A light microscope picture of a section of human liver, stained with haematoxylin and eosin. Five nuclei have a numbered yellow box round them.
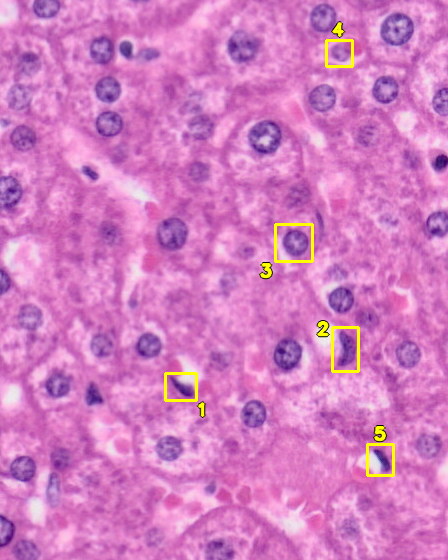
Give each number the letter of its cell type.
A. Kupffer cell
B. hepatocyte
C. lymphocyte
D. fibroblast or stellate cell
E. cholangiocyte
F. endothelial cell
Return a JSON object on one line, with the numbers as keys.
{"1": "F", "2": "F", "3": "B", "4": "A", "5": "F"}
